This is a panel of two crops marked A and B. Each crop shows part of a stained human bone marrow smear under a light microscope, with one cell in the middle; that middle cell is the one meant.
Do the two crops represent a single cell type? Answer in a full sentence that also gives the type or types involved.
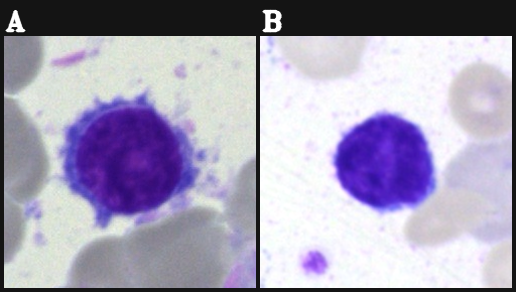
Yes, the two crops are alike in showing lymphocytes.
